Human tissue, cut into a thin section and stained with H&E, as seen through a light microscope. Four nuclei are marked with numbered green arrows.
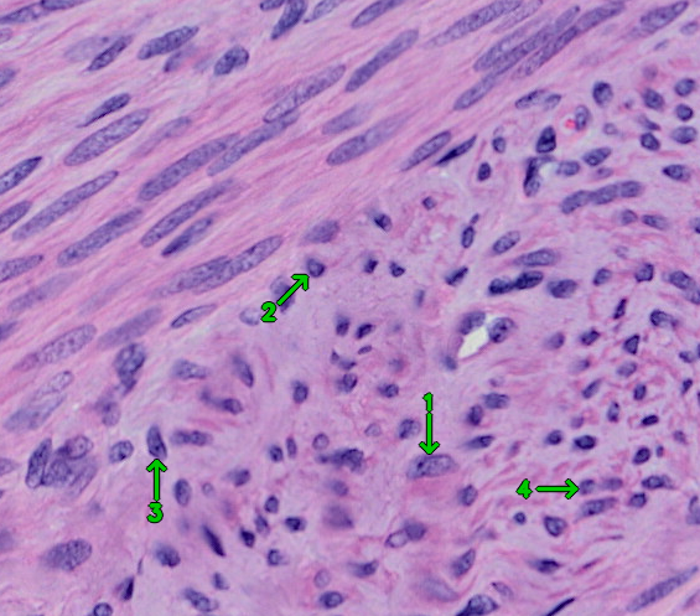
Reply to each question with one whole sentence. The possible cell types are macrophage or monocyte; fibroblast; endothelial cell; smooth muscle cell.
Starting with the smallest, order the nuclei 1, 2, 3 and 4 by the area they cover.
The order from the smallest nucleus to the largest is 4, 2, 3, 1.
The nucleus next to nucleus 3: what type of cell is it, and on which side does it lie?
The closest nucleus belongs to a smooth muscle cell and sits to the right of nucleus 3.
